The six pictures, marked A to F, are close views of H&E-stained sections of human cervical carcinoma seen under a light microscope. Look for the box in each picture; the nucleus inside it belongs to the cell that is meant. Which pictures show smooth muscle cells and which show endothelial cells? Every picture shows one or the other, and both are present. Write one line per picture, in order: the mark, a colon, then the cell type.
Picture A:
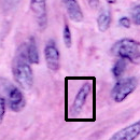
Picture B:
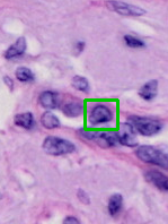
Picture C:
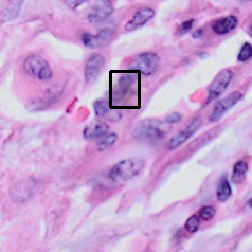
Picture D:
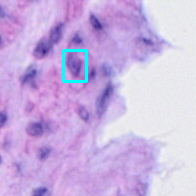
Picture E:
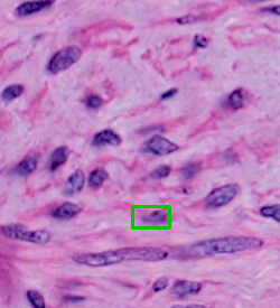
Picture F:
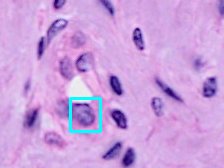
A: smooth muscle cell
B: endothelial cell
C: endothelial cell
D: smooth muscle cell
E: smooth muscle cell
F: endothelial cell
